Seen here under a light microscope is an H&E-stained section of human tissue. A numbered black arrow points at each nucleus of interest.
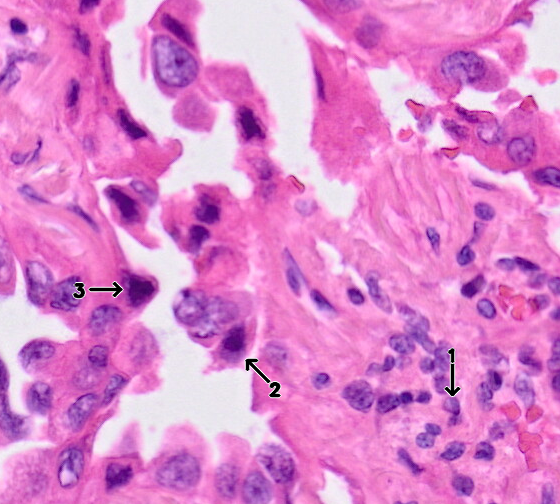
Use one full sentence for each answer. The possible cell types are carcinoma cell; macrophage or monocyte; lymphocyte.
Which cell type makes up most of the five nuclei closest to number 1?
Most of the five nuclei nearest to number 1 are those of lymphocytes.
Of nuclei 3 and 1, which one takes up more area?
It is nucleus 3, which covers about 4 times the area of nucleus 1.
